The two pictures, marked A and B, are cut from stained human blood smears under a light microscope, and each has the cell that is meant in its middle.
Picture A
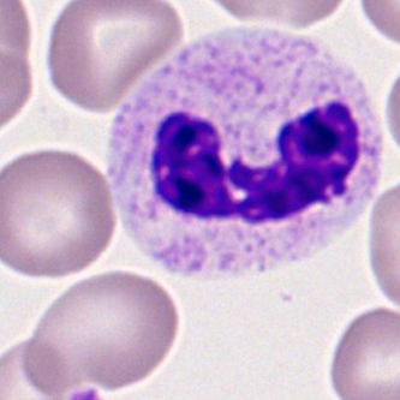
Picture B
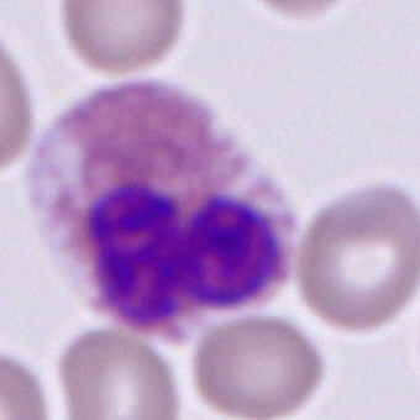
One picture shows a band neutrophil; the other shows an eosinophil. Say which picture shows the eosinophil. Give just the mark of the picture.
B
